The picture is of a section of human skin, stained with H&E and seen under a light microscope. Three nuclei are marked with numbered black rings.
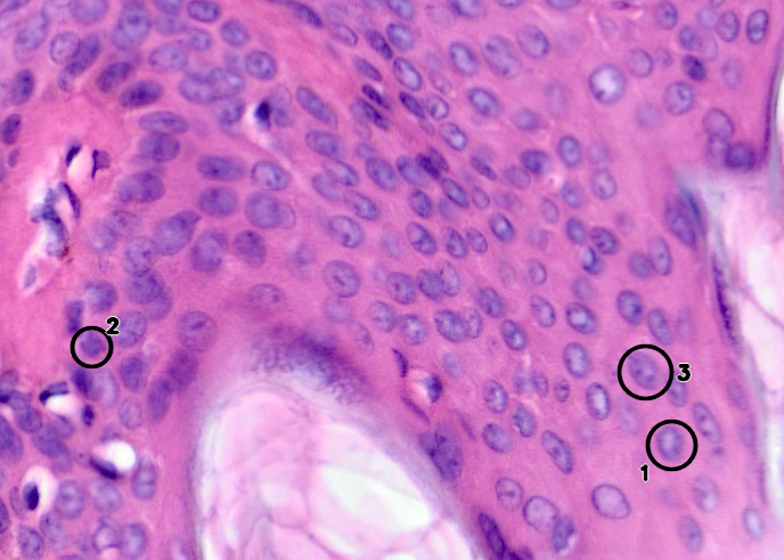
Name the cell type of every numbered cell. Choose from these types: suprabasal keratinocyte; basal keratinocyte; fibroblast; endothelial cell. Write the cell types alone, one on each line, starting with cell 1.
suprabasal keratinocyte
basal keratinocyte
suprabasal keratinocyte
